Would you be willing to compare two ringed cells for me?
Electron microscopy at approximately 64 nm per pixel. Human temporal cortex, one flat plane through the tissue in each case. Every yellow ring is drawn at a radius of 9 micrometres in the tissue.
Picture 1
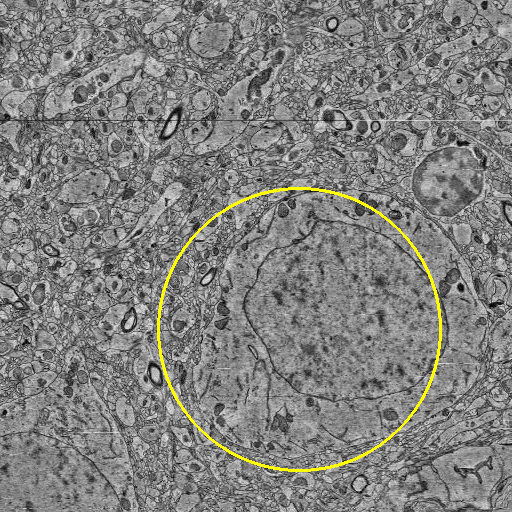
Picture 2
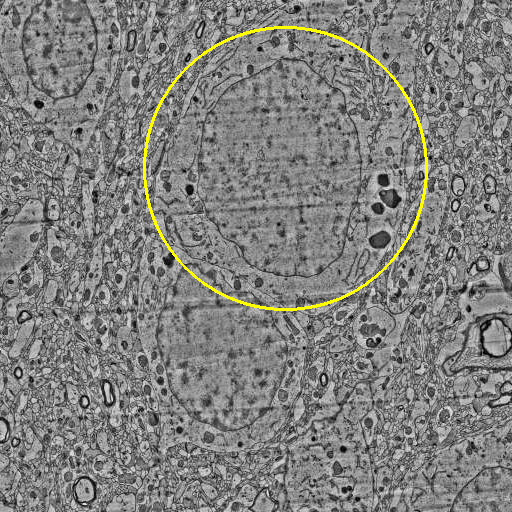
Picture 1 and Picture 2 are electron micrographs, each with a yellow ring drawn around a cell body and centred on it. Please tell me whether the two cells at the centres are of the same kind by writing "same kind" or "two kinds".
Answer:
same kind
